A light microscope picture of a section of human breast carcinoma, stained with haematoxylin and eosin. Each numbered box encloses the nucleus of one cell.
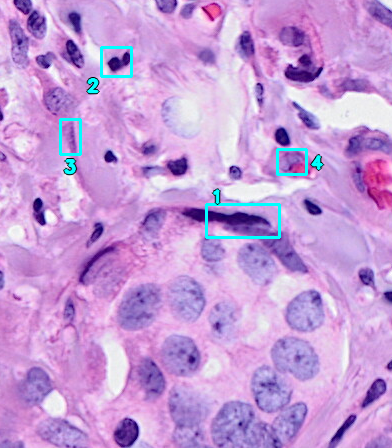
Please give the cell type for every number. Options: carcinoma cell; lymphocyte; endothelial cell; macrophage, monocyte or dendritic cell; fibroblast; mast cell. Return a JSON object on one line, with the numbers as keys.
{"1": "carcinoma cell", "2": "lymphocyte", "3": "fibroblast", "4": "endothelial cell"}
